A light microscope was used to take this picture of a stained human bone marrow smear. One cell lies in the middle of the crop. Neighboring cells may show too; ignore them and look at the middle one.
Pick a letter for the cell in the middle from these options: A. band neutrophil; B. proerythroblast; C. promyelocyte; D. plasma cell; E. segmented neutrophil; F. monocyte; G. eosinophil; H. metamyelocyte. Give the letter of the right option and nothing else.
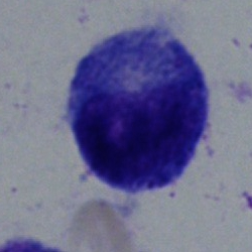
C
